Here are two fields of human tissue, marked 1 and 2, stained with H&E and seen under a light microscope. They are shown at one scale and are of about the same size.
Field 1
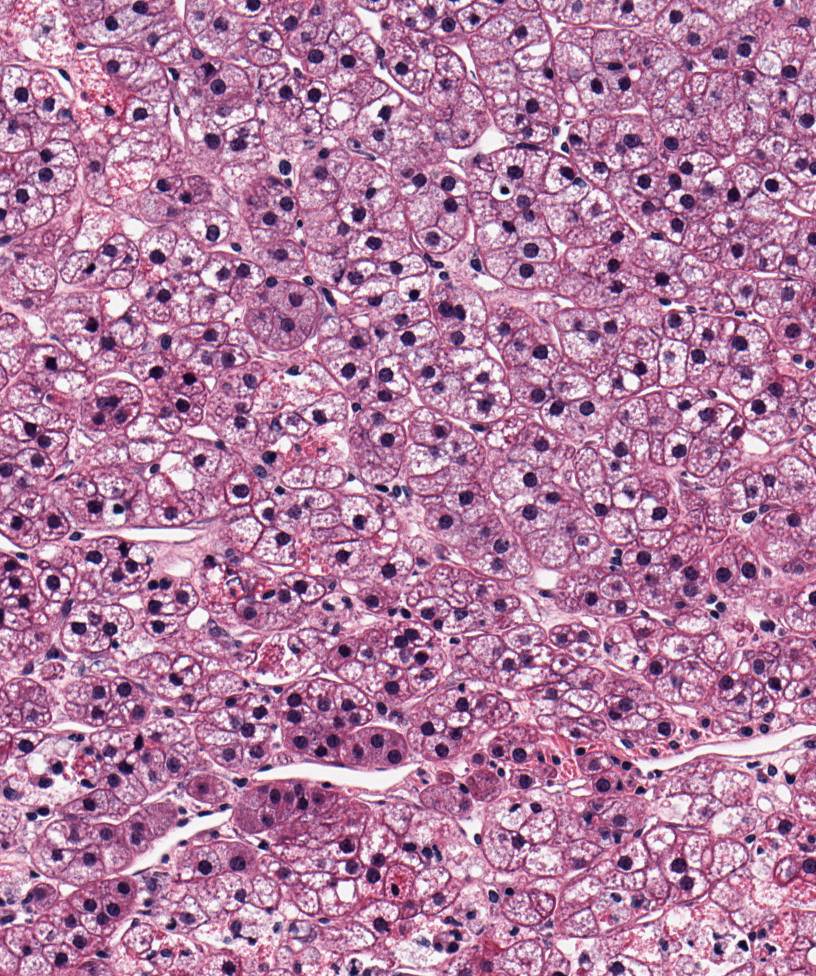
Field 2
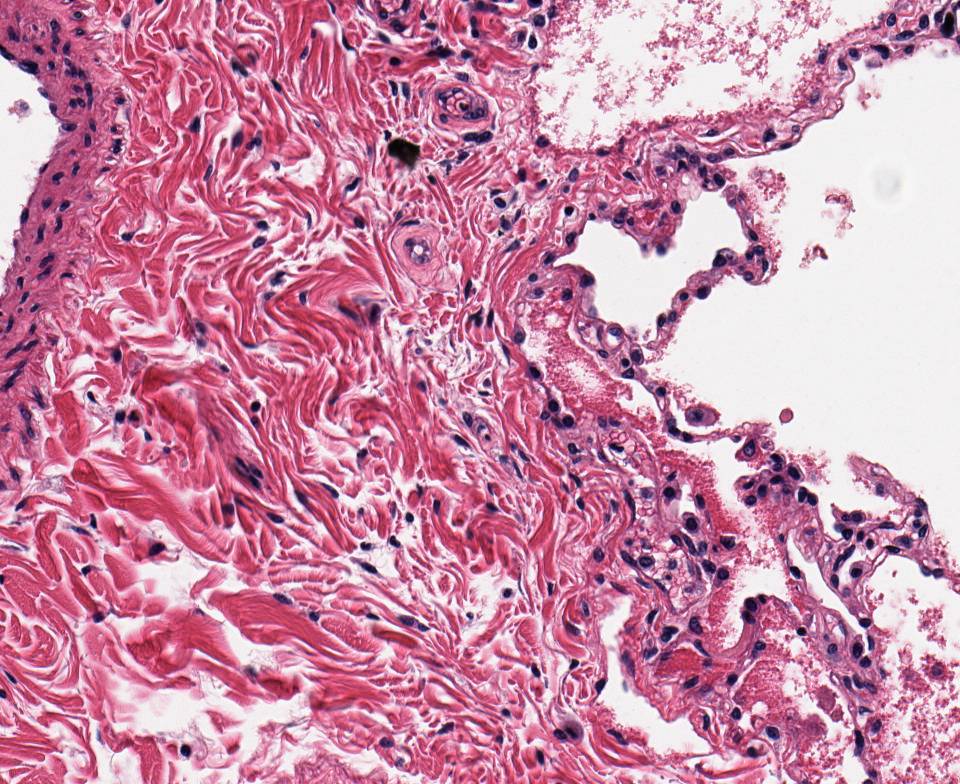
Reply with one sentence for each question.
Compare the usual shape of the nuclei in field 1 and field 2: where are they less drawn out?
The nuclei are rounder in field 1.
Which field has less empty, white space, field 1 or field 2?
It is field 1 that stained tissue fills more completely.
